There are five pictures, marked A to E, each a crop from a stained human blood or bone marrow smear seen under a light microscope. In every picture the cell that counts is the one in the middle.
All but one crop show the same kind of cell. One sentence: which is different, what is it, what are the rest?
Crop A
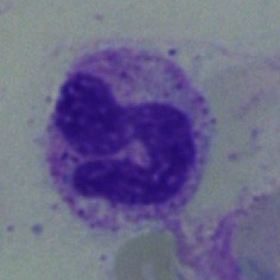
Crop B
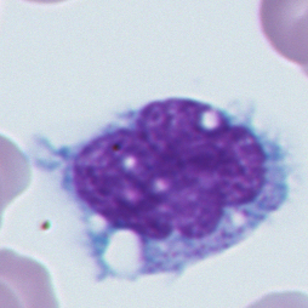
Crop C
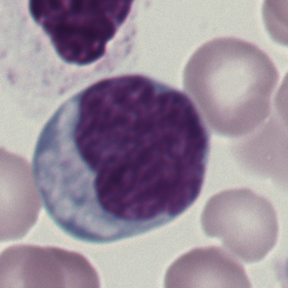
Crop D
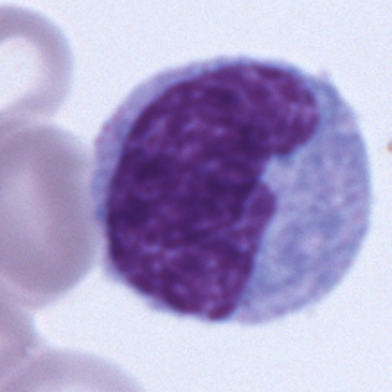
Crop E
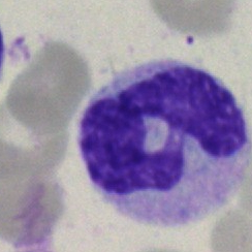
The remaining crops are all monocytes, so crop A, being a band neutrophil, is the exception.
